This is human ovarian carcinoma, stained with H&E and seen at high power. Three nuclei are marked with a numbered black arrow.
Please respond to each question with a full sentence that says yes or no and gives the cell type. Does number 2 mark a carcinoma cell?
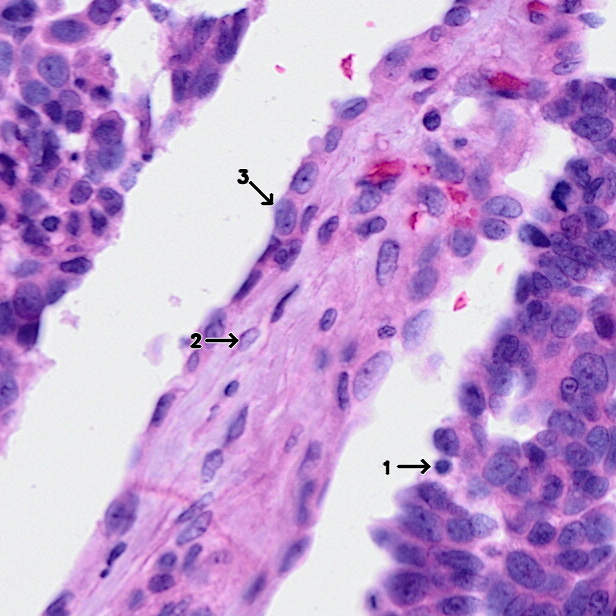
No, cell 2 should be classed as a fibroblast, not as a carcinoma cell.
